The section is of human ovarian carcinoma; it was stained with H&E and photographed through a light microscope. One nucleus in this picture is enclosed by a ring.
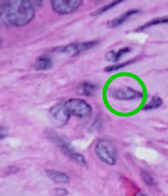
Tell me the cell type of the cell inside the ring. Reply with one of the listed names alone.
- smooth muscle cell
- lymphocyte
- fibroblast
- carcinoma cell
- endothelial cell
fibroblast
